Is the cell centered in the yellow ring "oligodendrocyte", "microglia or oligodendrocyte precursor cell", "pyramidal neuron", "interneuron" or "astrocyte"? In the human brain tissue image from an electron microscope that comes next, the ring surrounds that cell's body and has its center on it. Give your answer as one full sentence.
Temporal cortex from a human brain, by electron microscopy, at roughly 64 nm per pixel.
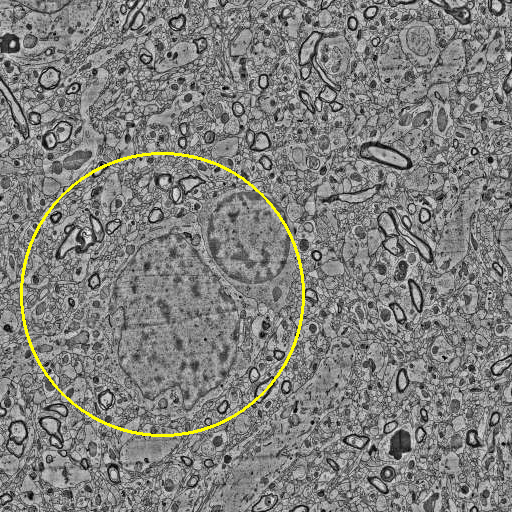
The cell at the center of the yellow ring is an interneuron in the micrograph.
